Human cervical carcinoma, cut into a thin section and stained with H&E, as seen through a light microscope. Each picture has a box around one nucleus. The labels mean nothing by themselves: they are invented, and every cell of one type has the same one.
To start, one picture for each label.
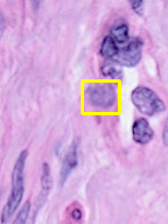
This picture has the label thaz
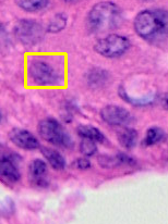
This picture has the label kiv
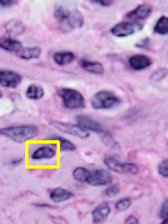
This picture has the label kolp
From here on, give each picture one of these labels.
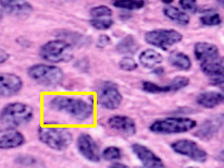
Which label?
kiv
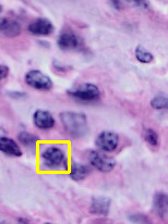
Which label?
kolp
